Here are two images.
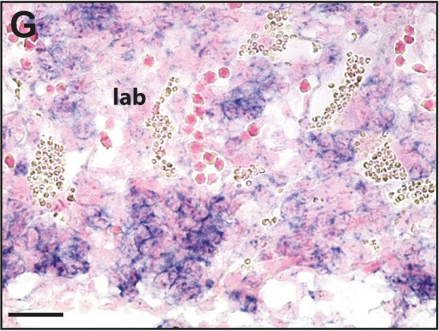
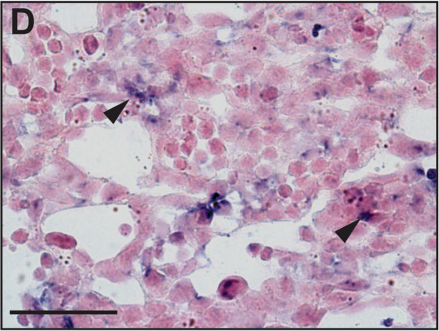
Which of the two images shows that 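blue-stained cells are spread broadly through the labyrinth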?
The first image.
